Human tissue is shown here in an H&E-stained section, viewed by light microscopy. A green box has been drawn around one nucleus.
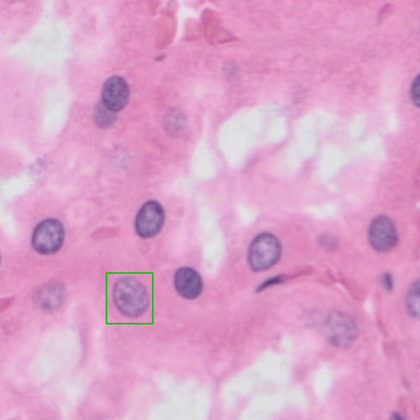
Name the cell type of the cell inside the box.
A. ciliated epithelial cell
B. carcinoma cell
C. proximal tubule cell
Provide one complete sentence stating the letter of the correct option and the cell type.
The item is answered by option C: the cell inside the box is a proximal tubule cell.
